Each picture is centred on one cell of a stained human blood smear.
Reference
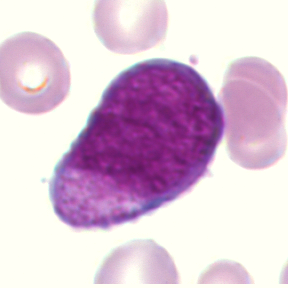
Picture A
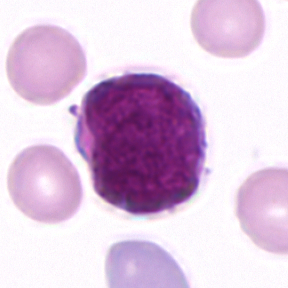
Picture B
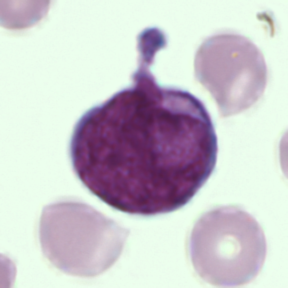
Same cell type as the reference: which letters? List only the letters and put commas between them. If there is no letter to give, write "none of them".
A, B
